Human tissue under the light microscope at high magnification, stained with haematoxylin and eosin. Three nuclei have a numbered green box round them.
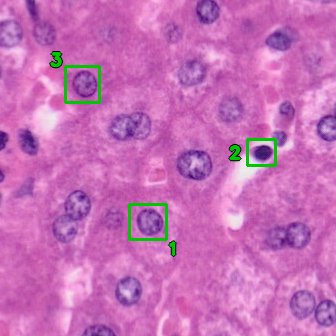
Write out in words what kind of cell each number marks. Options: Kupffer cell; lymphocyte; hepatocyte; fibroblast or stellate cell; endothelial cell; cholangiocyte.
Cell 1 is a hepatocyte, cell 2 is a lymphocyte and cell 3 is a hepatocyte.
